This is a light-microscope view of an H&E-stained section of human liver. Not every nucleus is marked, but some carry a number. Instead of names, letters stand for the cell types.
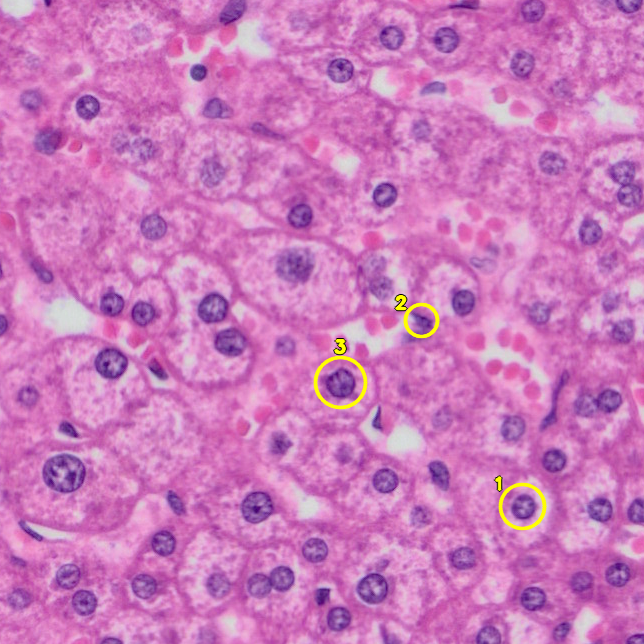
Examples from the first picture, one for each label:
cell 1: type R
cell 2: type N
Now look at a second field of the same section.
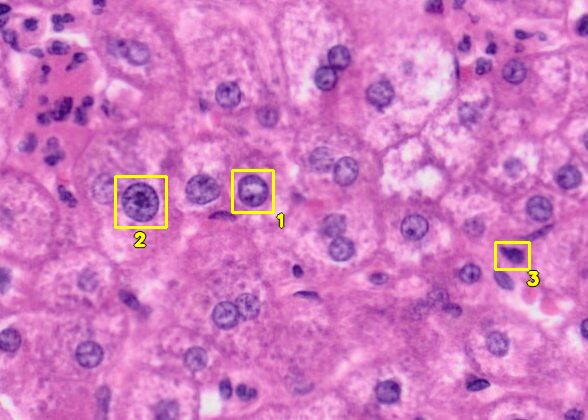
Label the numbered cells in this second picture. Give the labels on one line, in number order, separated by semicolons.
type R; type R; type N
